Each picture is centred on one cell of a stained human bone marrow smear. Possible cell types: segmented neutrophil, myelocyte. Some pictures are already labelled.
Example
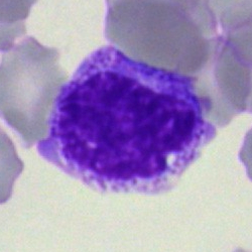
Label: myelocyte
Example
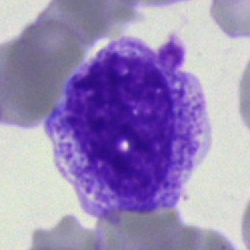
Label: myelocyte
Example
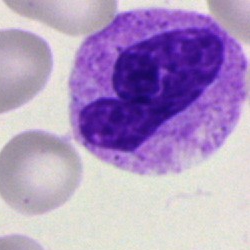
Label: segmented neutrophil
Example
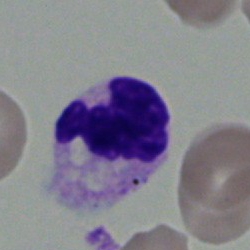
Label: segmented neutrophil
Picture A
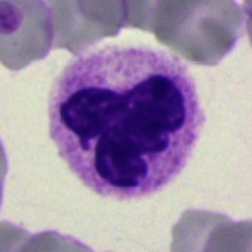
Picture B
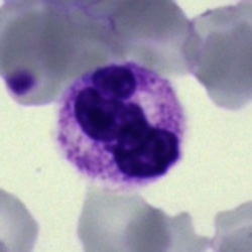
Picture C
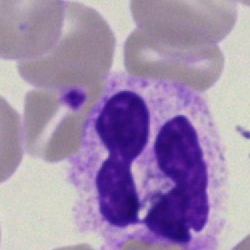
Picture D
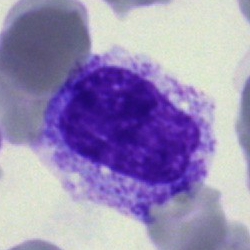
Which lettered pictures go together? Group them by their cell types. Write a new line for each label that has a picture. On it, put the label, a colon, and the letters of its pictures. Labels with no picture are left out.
segmented neutrophil: A, B, C
myelocyte: D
